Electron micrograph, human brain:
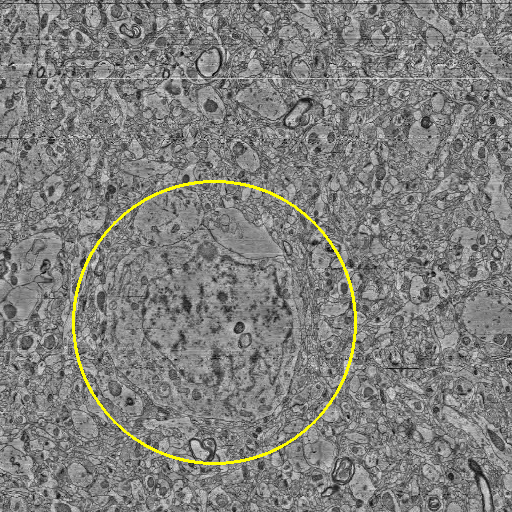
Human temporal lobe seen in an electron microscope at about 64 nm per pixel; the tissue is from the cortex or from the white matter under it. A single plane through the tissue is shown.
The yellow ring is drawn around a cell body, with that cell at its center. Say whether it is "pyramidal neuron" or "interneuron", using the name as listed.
interneuron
